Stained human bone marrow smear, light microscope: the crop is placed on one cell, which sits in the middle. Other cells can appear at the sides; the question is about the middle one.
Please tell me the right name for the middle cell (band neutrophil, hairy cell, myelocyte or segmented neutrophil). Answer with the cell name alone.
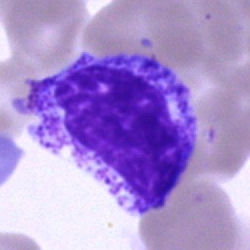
myelocyte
